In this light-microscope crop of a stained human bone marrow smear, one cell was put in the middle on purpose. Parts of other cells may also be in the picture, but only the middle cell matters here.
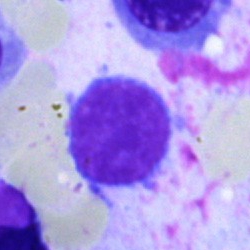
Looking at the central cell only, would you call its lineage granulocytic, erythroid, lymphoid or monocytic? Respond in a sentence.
The cell at the center of this crop is from the lymphoid lineage.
